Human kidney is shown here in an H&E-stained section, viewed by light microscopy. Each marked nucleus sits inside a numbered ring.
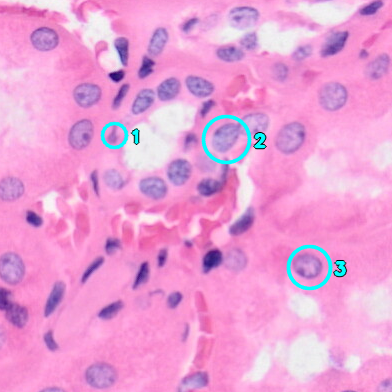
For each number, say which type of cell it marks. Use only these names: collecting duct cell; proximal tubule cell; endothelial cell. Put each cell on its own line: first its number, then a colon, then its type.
1: collecting duct cell
2: collecting duct cell
3: proximal tubule cell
